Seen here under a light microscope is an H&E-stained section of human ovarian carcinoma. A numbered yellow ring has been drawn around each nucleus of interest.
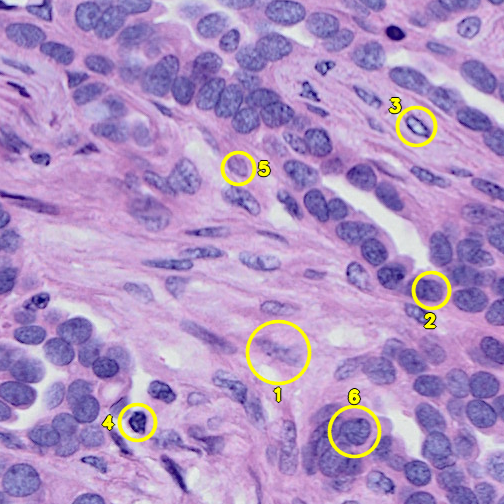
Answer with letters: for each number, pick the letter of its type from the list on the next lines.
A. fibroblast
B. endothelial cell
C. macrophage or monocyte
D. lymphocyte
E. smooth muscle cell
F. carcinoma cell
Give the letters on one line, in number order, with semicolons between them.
A; F; A; D; A; F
